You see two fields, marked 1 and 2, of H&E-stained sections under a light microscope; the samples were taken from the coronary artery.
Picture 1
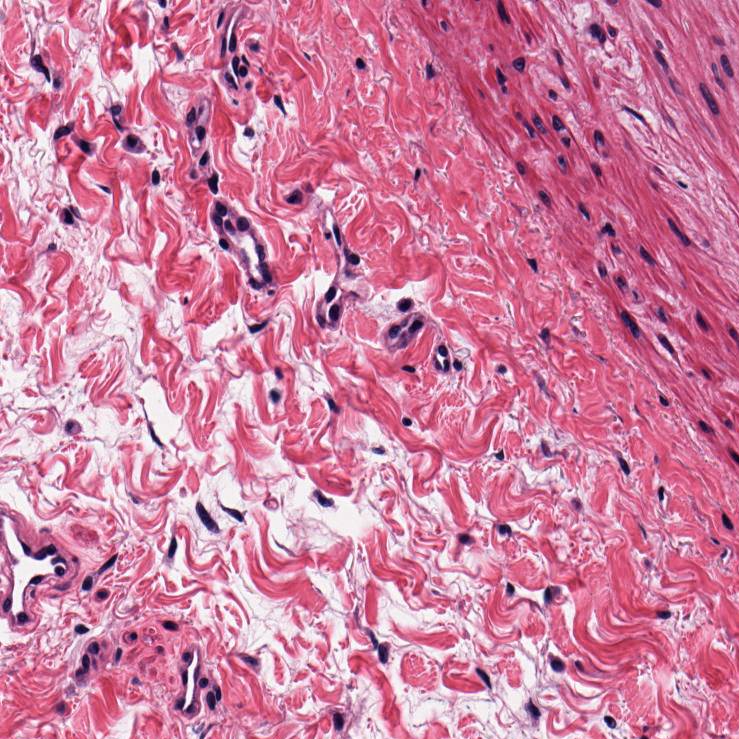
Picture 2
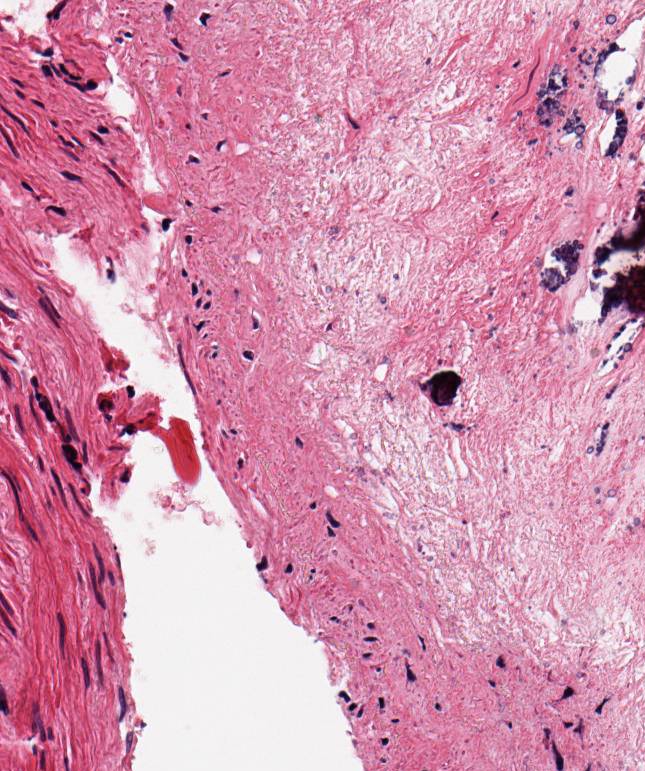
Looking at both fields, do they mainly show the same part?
no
